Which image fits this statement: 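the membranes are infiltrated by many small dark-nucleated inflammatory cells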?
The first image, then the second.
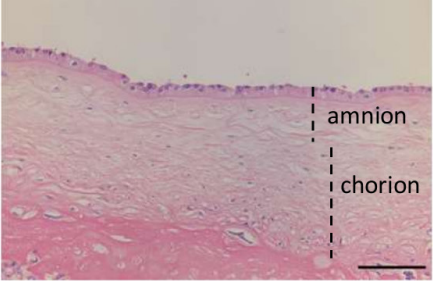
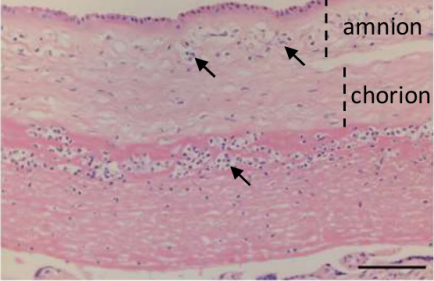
the second image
